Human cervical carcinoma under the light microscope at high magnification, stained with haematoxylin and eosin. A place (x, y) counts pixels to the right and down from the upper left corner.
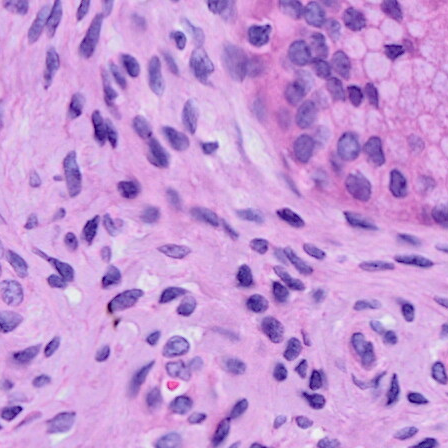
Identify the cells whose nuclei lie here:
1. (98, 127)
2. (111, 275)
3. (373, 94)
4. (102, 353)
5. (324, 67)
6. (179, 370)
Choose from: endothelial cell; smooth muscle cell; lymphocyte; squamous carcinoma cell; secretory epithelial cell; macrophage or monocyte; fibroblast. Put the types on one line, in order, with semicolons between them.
fibroblast; fibroblast; secretory epithelial cell; fibroblast; secretory epithelial cell; endothelial cell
